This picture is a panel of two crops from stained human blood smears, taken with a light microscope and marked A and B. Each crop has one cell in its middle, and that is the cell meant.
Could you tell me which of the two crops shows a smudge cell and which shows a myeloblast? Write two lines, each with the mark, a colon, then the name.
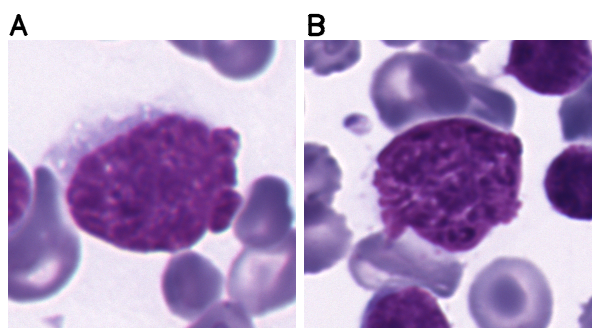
A: myeloblast
B: smudge cell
